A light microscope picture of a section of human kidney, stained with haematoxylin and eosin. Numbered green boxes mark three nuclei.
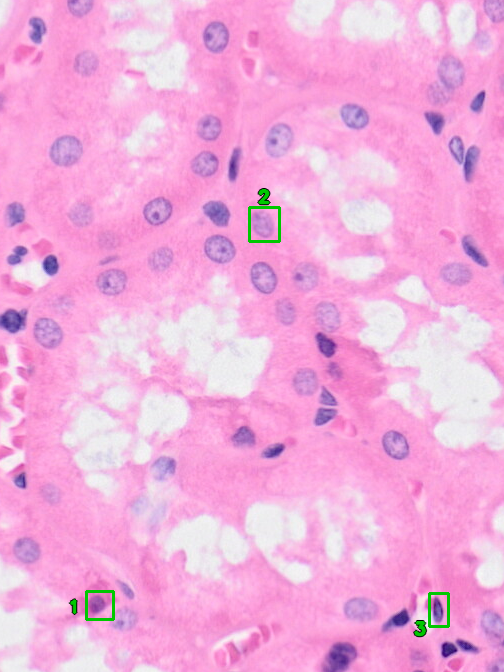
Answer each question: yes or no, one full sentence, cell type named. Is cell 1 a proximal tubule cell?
Yes, the one with the number 1 is a proximal tubule cell.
